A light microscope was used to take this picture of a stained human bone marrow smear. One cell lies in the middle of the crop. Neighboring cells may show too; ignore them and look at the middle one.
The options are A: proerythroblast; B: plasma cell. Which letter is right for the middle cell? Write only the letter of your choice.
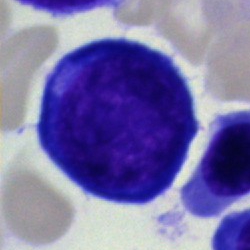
A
